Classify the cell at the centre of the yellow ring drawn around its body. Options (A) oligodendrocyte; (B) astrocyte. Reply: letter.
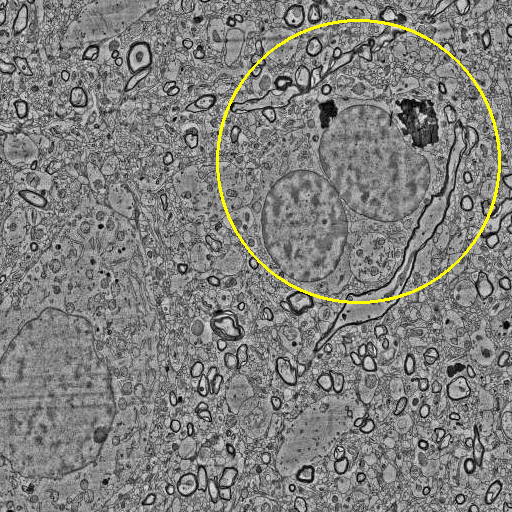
A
